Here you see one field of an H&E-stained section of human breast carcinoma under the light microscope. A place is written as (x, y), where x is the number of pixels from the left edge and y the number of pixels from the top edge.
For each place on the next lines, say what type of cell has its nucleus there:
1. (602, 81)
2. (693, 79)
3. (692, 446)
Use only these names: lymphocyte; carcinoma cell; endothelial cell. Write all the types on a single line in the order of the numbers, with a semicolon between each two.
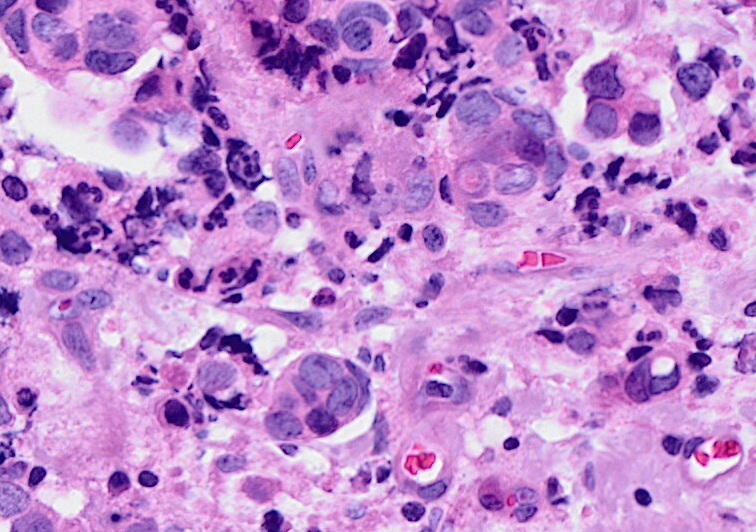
carcinoma cell; carcinoma cell; endothelial cell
